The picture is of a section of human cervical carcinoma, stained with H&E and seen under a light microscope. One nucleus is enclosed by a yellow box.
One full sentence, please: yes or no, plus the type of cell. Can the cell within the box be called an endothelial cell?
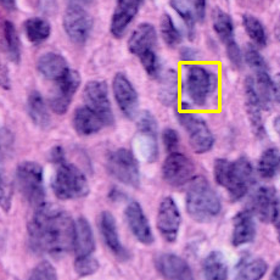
No, on this slide the cell within the box is a squamous carcinoma cell, not an endothelial cell.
